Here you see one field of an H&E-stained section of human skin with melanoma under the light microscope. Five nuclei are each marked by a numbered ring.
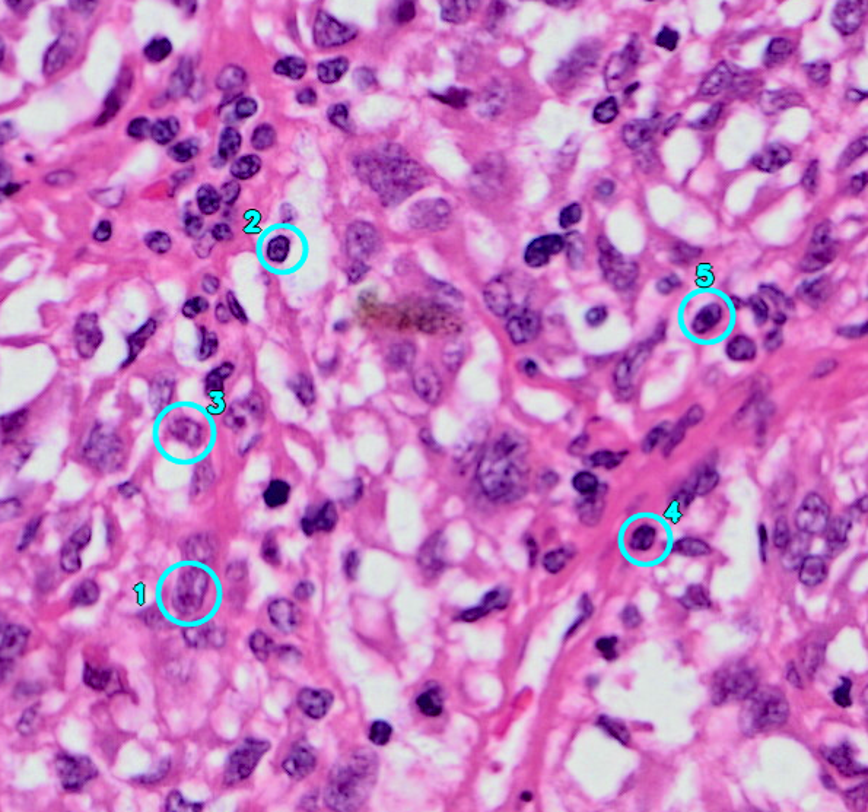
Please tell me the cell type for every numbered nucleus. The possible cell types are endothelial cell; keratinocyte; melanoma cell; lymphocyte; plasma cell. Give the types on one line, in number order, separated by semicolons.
melanoma cell; lymphocyte; melanoma cell; lymphocyte; lymphocyte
